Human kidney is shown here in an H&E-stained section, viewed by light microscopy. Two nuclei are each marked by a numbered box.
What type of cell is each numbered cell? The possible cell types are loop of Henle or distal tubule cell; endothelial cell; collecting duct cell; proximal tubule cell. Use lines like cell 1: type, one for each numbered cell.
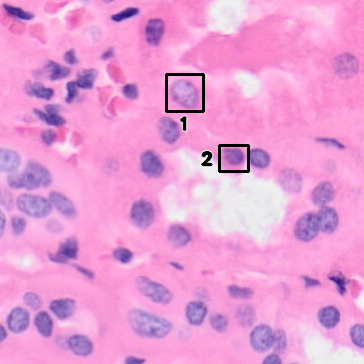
cell 1: proximal tubule cell
cell 2: loop of Henle or distal tubule cell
